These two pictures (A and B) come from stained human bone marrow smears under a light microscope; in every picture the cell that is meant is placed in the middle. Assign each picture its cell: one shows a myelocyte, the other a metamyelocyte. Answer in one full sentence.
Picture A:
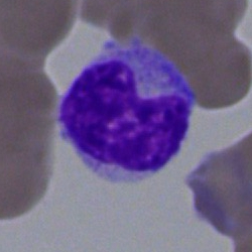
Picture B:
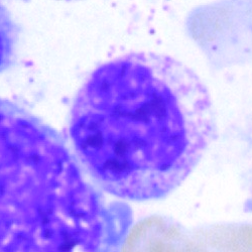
It is picture A that shows a metamyelocyte, and picture B that shows a myelocyte.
